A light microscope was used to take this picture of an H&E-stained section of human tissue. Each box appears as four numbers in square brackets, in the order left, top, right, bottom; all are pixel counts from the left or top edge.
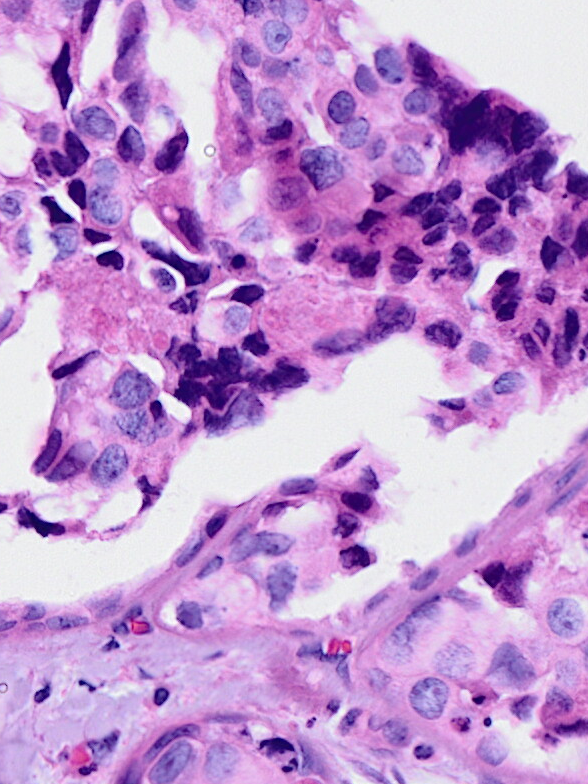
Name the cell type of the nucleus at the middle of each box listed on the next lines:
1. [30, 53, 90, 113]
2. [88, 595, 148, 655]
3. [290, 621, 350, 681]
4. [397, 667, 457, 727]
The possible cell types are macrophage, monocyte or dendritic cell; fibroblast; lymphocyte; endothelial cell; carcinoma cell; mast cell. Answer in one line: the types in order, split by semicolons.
carcinoma cell; endothelial cell; endothelial cell; carcinoma cell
